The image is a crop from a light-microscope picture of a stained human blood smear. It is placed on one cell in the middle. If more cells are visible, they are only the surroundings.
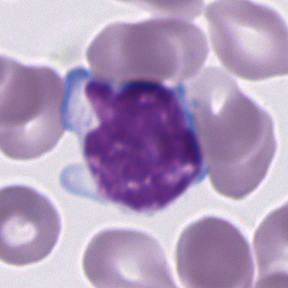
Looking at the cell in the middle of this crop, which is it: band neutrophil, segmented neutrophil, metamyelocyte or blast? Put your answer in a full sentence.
The central cell in this smear crop is a blast.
